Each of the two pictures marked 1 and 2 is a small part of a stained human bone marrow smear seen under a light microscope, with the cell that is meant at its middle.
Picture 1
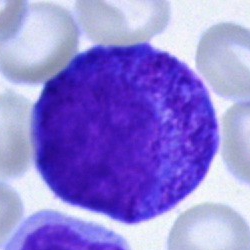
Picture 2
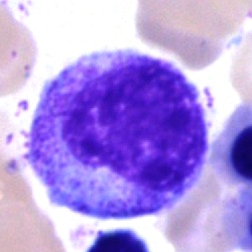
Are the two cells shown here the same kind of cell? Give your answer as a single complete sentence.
Yes; the cells in both pictures are promyelocytes.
